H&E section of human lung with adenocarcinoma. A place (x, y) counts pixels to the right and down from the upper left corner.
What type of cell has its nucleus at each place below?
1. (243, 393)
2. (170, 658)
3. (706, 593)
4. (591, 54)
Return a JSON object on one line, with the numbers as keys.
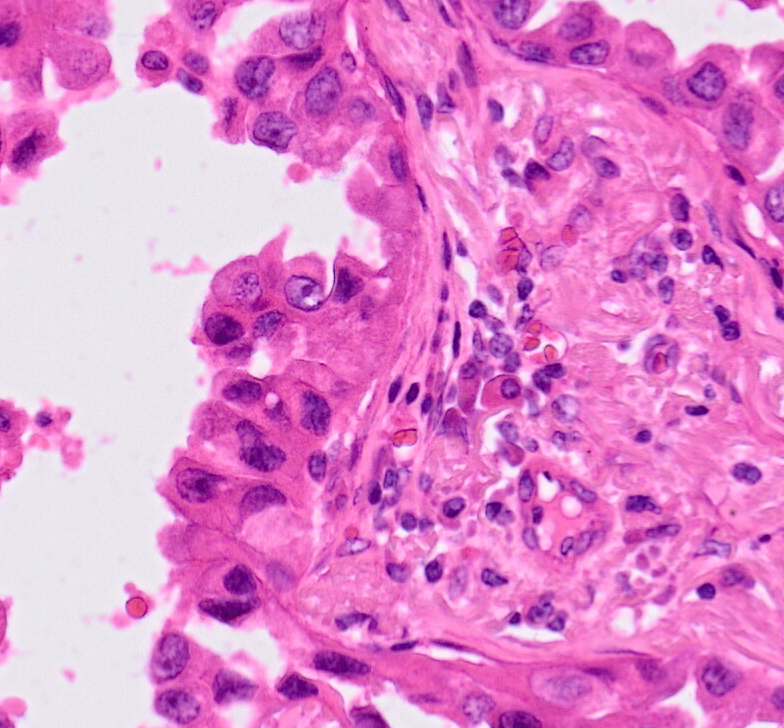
{"1": "carcinoma cell", "2": "carcinoma cell", "3": "lymphocyte", "4": "carcinoma cell"}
